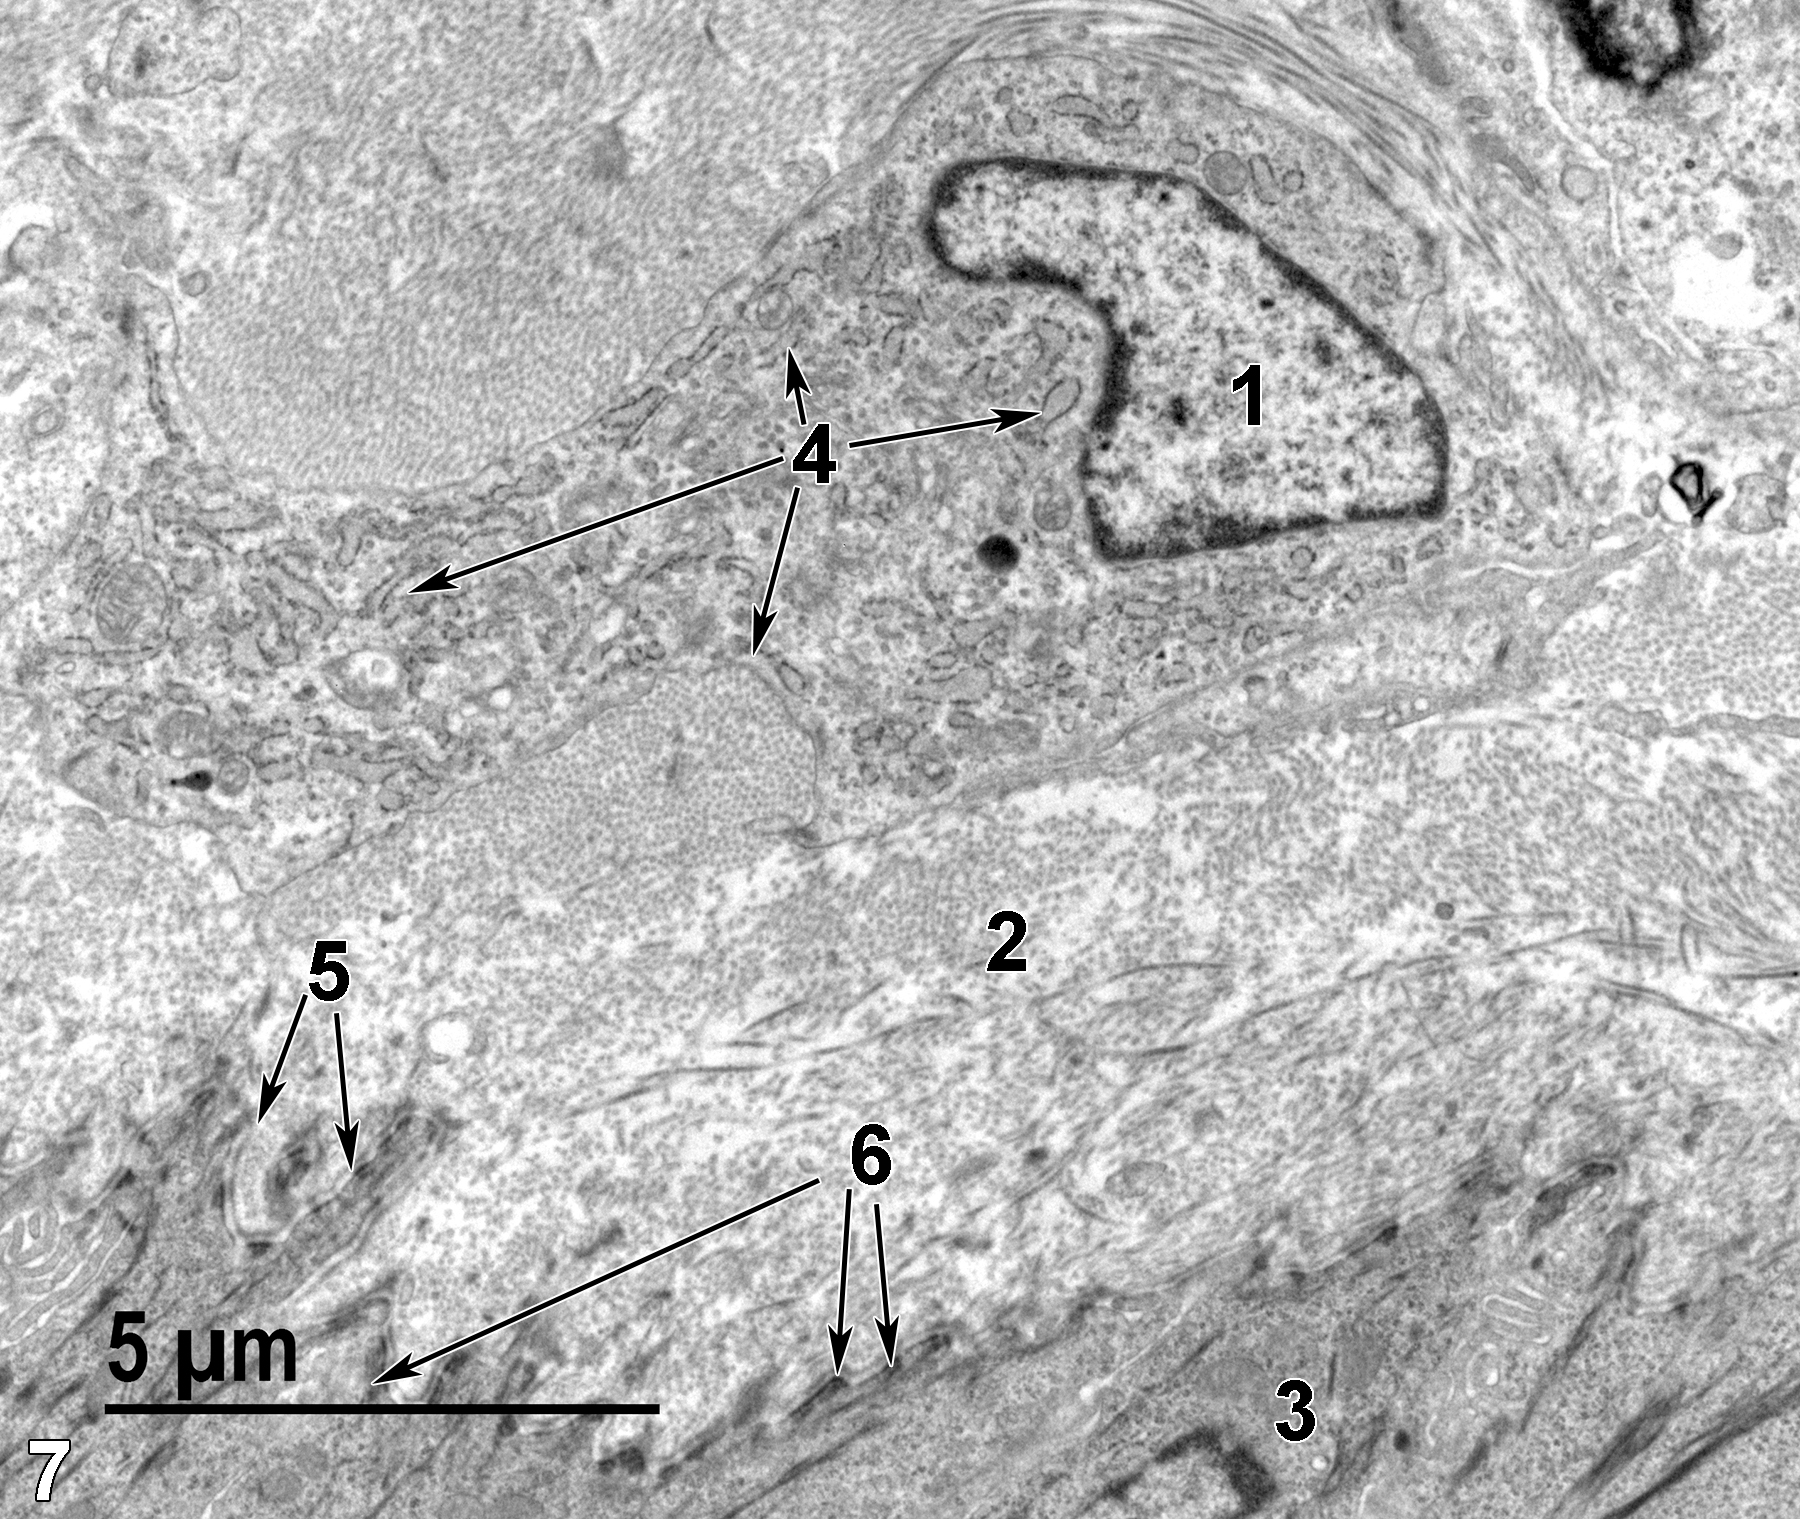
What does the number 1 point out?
Fibroblast nucleus.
